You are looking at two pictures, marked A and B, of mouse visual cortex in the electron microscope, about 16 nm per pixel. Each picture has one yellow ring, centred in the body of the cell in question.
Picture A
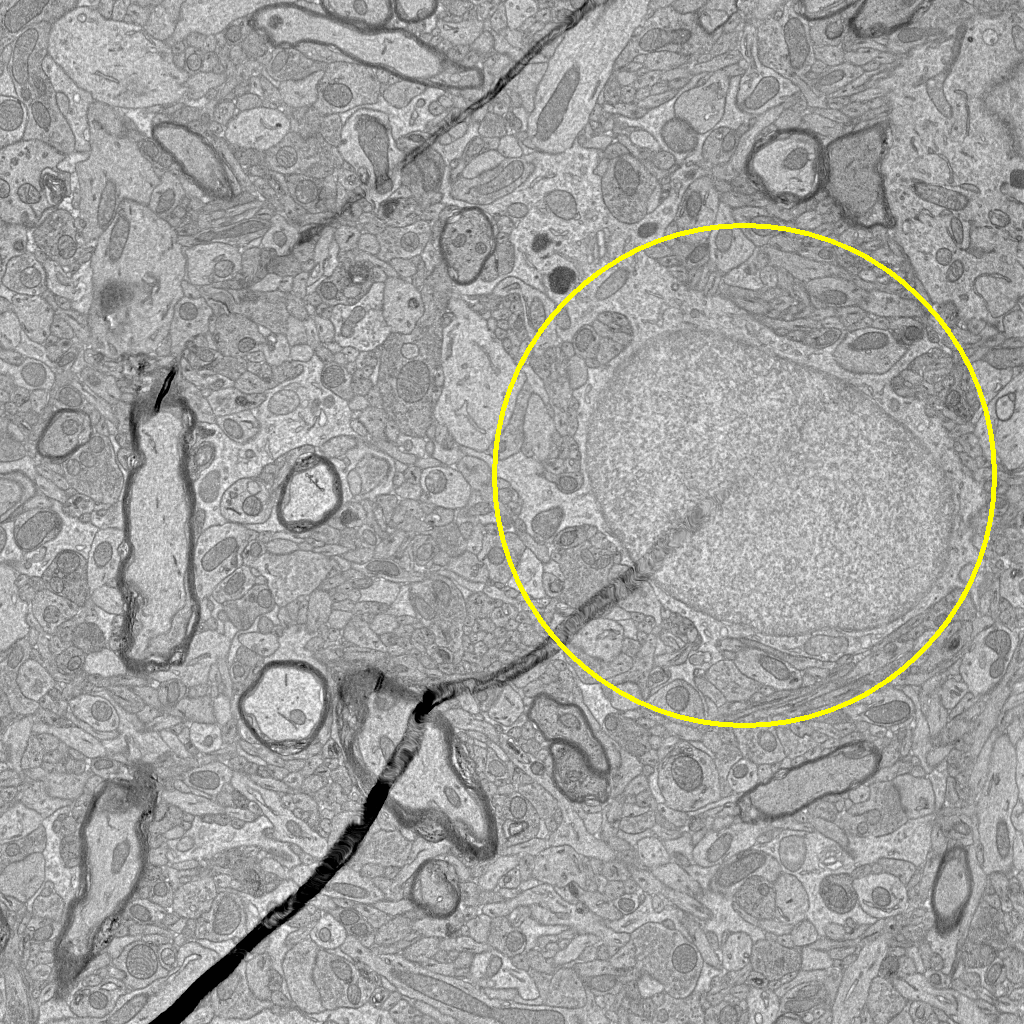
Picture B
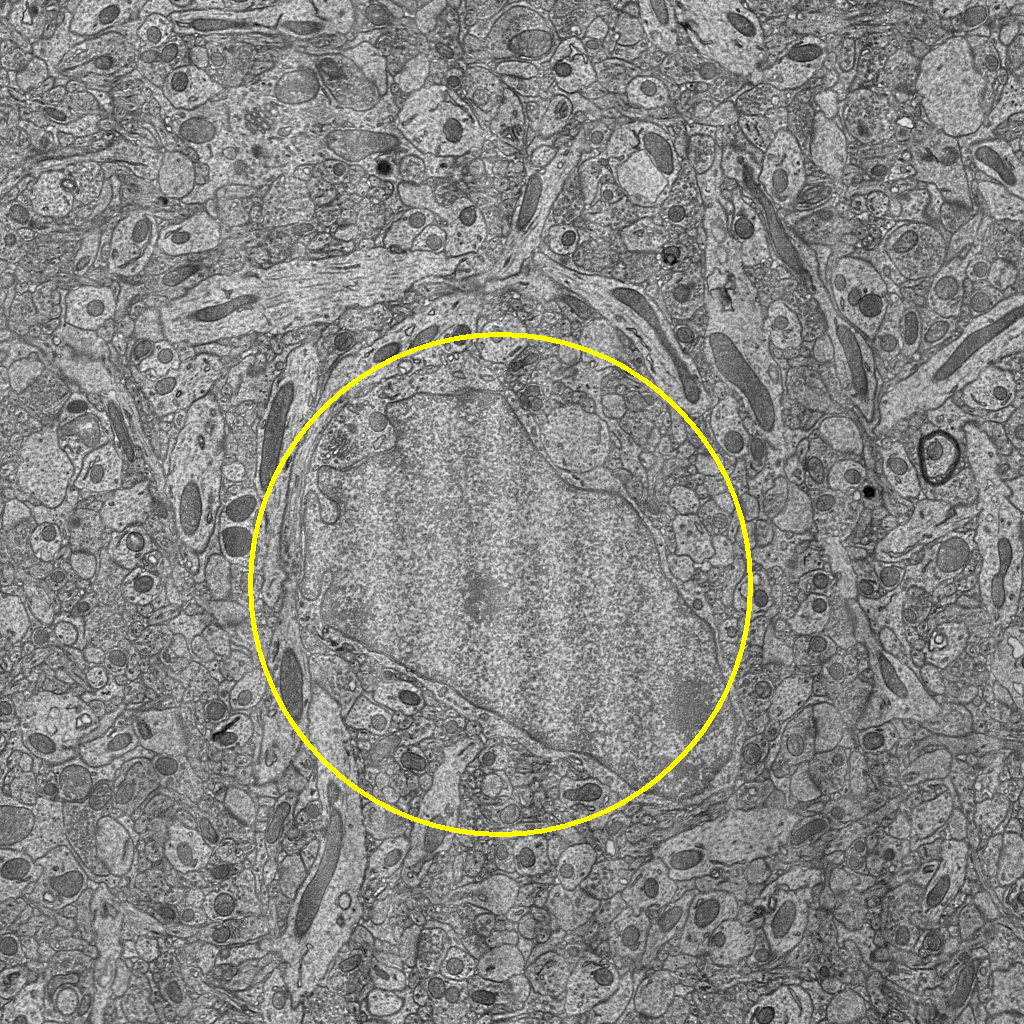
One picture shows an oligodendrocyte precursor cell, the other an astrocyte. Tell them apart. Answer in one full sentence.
The cell in picture A is an astrocyte, and the one in picture B is an oligodendrocyte precursor cell.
